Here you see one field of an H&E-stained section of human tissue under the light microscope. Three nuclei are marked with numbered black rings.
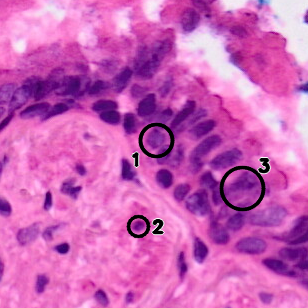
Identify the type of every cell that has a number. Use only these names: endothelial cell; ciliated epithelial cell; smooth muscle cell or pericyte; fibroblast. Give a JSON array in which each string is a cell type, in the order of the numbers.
["ciliated epithelial cell", "smooth muscle cell or pericyte", "ciliated epithelial cell"]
